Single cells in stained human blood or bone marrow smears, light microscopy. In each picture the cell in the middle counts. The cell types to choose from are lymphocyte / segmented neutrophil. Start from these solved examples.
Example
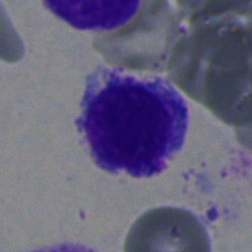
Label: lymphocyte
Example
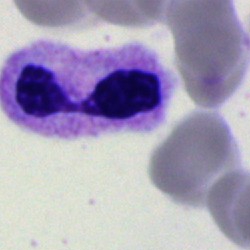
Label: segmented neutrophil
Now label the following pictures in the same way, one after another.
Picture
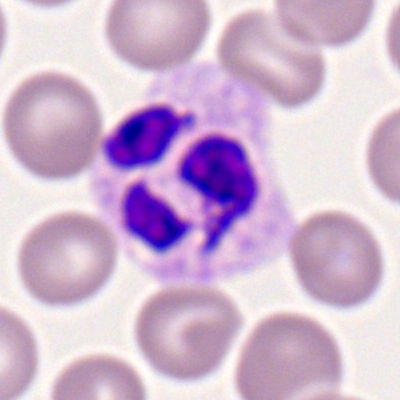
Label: segmented neutrophil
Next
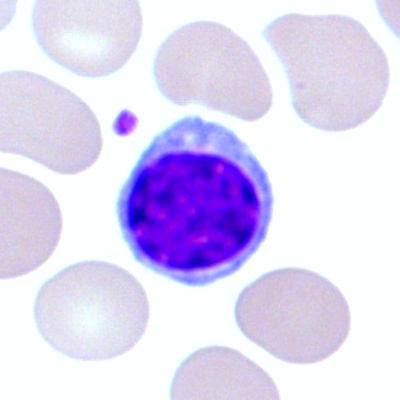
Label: lymphocyte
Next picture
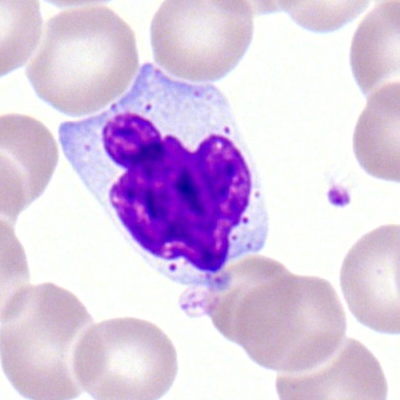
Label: lymphocyte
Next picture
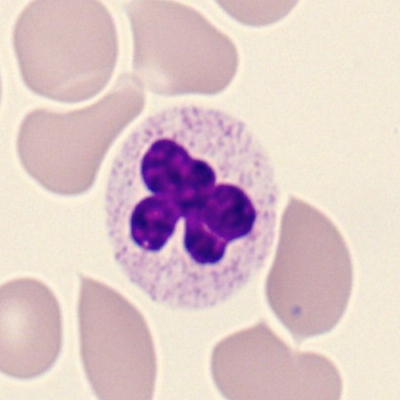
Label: segmented neutrophil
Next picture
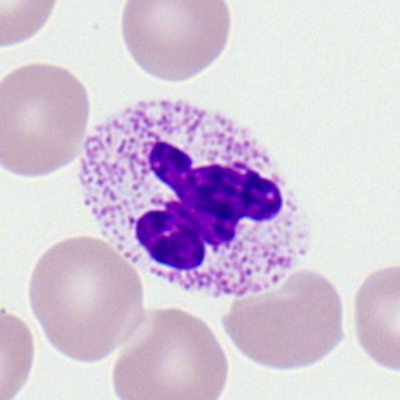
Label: segmented neutrophil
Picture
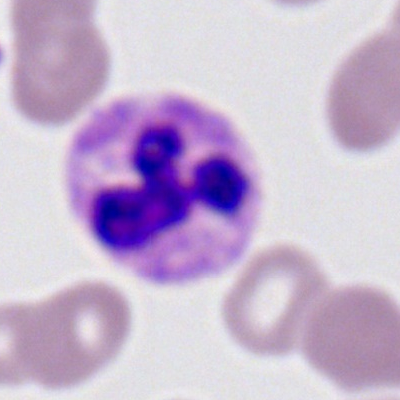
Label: segmented neutrophil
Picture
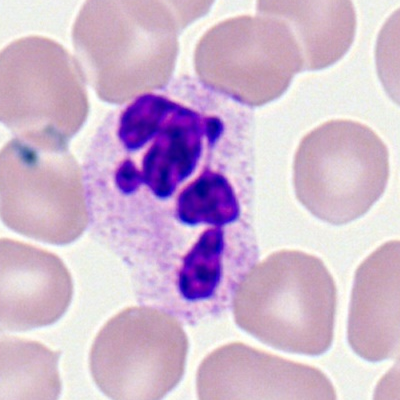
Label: segmented neutrophil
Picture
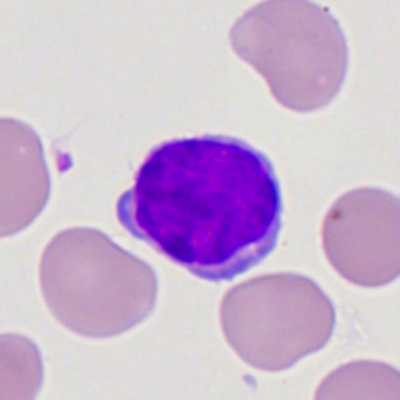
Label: lymphocyte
